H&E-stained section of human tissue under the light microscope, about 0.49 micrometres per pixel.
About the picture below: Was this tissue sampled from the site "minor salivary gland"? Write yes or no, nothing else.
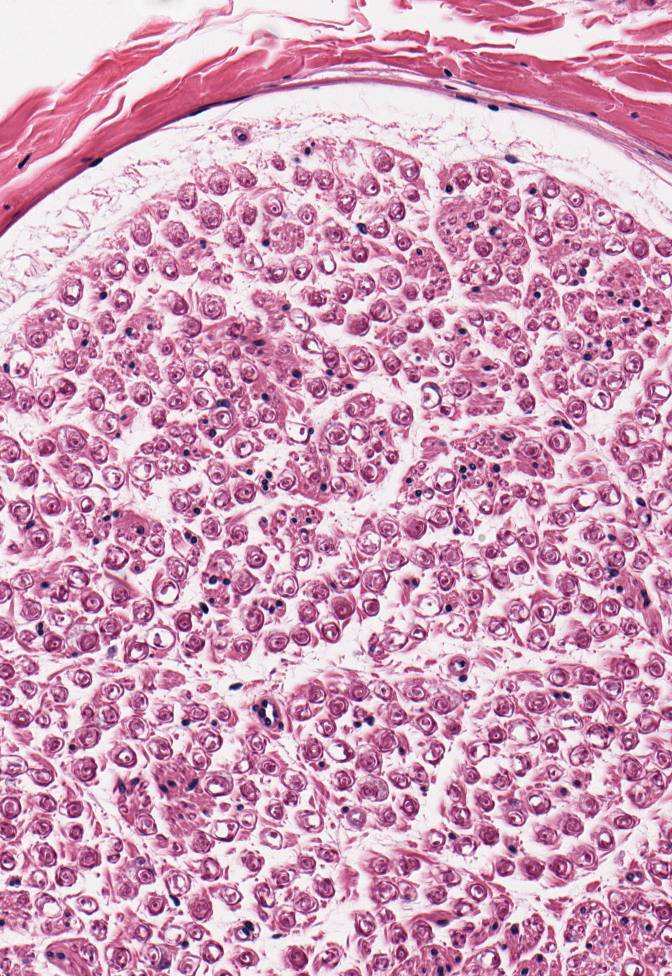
no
